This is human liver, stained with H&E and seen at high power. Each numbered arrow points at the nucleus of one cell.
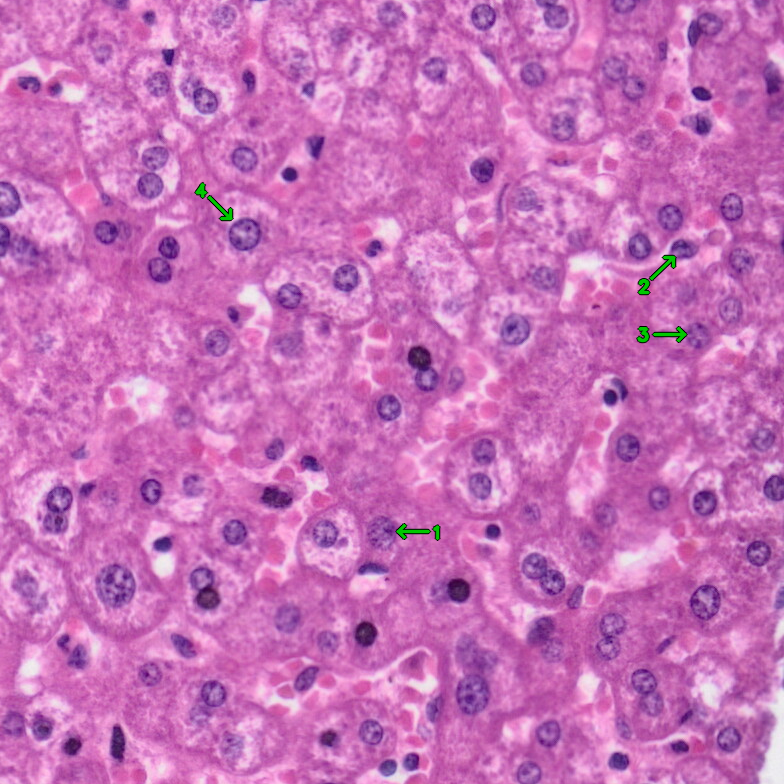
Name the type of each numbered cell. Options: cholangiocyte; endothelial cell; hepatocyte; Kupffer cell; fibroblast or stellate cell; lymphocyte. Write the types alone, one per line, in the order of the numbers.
hepatocyte
Kupffer cell
hepatocyte
hepatocyte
